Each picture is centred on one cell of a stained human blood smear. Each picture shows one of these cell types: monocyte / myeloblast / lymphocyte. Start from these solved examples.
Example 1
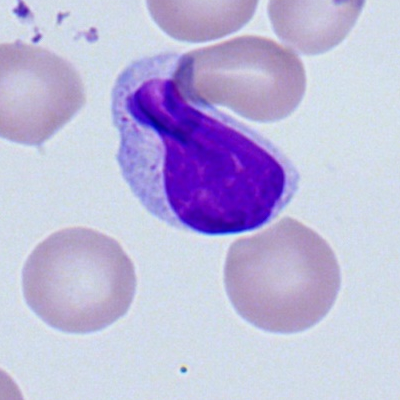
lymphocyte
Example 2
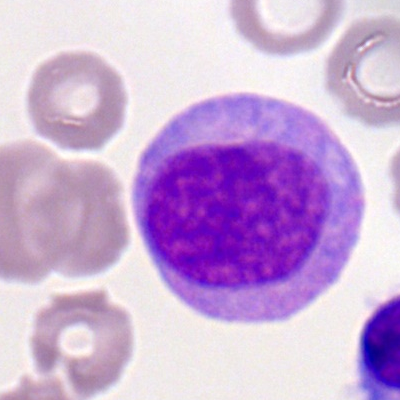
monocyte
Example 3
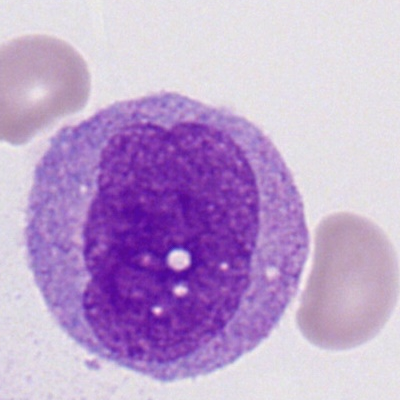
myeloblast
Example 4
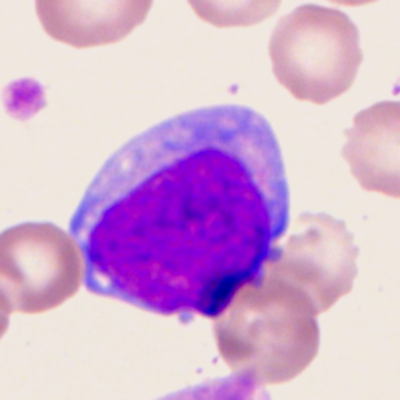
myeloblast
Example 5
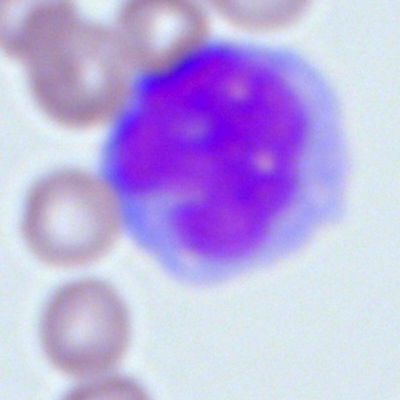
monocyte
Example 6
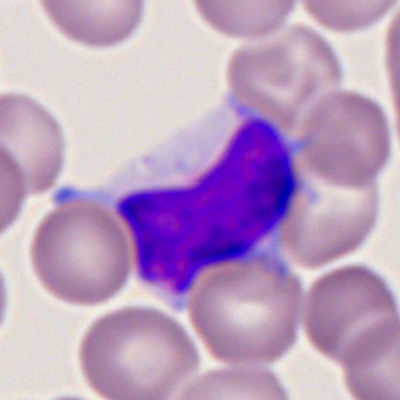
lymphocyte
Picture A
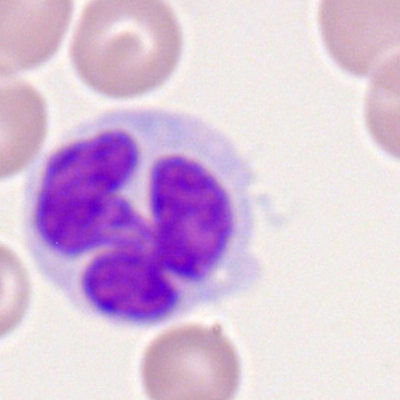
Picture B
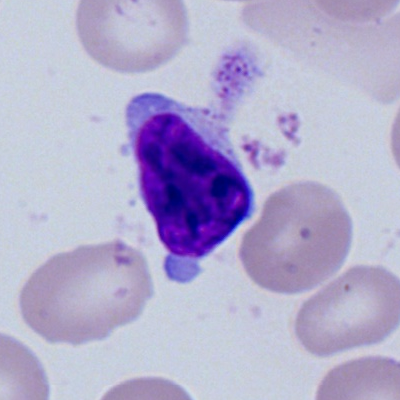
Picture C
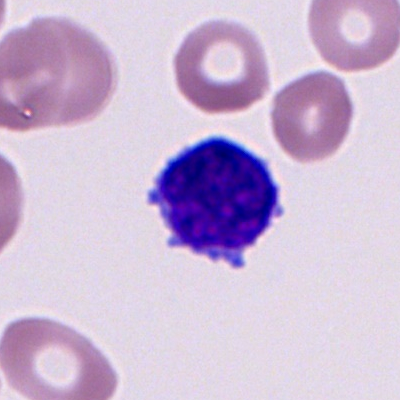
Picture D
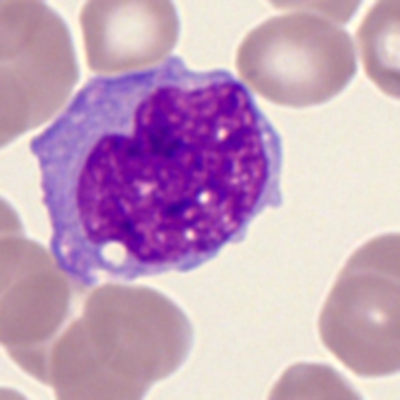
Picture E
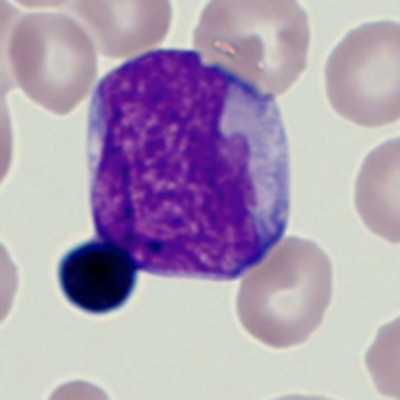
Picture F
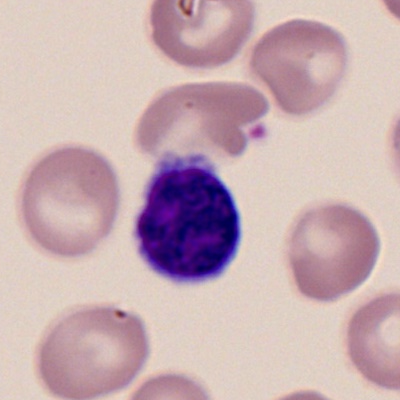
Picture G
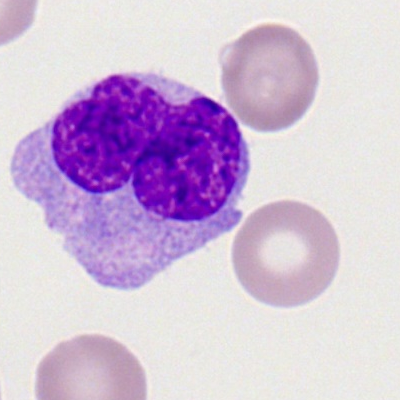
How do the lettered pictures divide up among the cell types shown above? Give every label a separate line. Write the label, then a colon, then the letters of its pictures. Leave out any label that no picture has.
monocyte: A, D, G
myeloblast: E
lymphocyte: B, C, F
